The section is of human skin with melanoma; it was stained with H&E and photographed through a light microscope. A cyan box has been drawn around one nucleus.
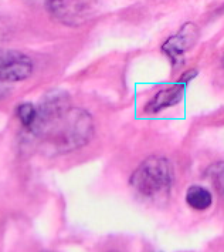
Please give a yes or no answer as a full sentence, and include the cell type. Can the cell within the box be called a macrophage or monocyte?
Yes, the identity of the cell within the box is that of a macrophage or monocyte.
